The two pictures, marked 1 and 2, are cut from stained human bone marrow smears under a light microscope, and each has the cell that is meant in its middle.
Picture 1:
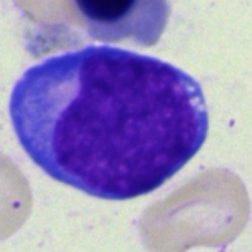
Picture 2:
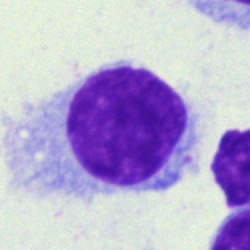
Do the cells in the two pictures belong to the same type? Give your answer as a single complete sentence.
No. Picture 1 shows a blast, but picture 2 shows a hairy cell.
